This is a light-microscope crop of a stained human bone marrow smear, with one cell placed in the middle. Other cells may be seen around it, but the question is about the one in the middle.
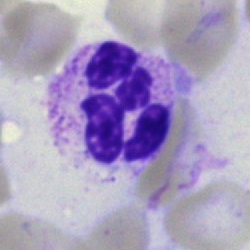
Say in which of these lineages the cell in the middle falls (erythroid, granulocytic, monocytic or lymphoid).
granulocytic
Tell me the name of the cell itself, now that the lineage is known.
segmented neutrophil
